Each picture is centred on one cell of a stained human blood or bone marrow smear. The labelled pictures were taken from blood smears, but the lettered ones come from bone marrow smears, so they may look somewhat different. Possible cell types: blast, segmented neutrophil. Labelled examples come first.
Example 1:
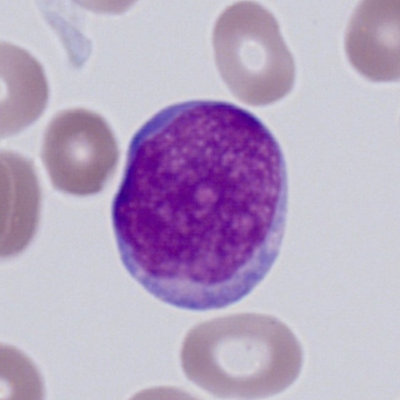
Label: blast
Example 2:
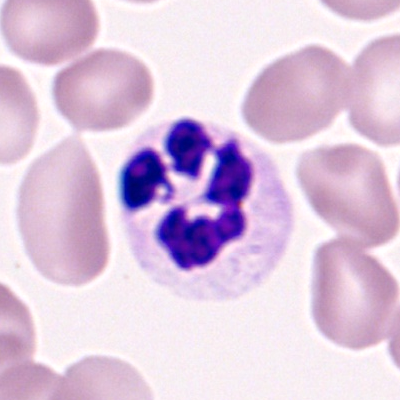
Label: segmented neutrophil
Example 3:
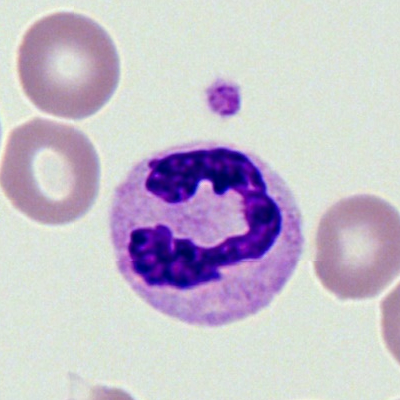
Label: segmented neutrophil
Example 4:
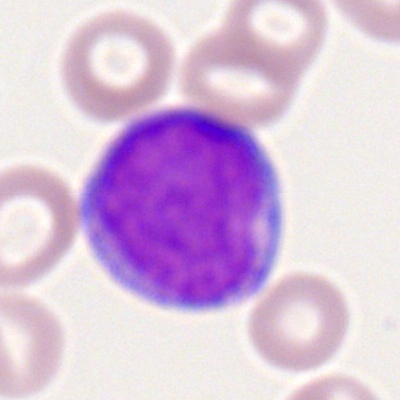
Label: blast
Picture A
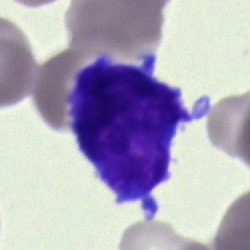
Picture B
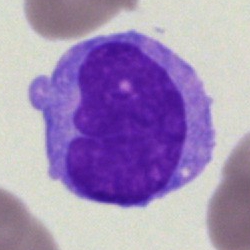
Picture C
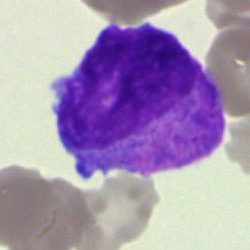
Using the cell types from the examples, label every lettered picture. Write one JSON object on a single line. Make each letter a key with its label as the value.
{"A": "blast", "B": "blast", "C": "blast"}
